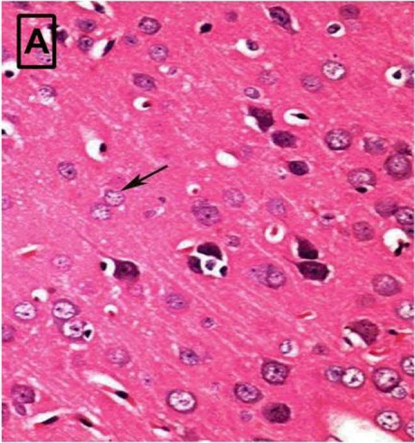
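This is a section of cerebral cortex with neurons and smaller glial cells lying in a smooth, pink, finely fibrillar neuropil. Most neurons have large, round, pale vesicular nuclei with a distinct dark nucleolus and a rim of purple cytoplasm. Smaller cells with compact round nuclei lie scattered between them. A few cells are darker and angular and sit within clear spaces. Small vessels appear as narrow clear slits and round lumens.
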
